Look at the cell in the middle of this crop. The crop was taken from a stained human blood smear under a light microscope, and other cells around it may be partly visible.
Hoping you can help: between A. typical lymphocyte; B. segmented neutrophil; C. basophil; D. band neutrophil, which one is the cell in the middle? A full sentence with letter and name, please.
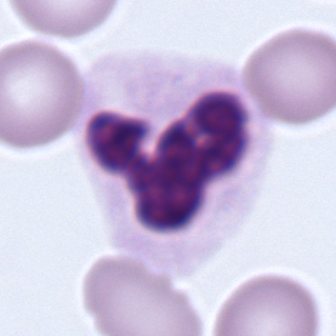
Option B is the correct one; it names the central cell as a segmented neutrophil.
